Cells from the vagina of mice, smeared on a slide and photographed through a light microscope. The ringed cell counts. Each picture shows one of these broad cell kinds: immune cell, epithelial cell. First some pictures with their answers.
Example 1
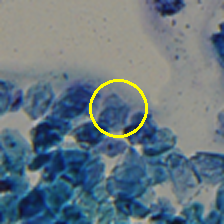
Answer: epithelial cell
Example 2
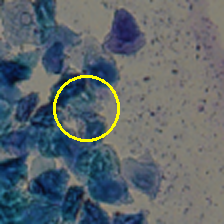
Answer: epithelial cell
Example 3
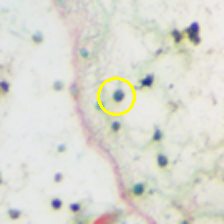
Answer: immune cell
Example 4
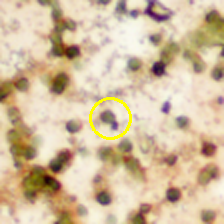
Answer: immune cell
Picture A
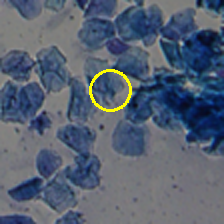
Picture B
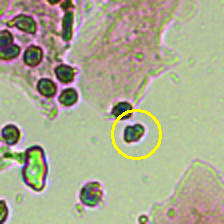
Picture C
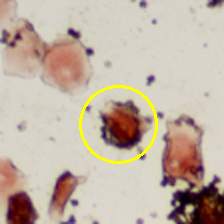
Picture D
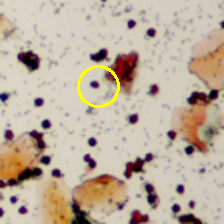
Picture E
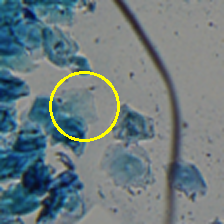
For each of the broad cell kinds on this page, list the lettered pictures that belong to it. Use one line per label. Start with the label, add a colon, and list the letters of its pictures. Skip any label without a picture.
immune cell: B, D
epithelial cell: A, C, E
